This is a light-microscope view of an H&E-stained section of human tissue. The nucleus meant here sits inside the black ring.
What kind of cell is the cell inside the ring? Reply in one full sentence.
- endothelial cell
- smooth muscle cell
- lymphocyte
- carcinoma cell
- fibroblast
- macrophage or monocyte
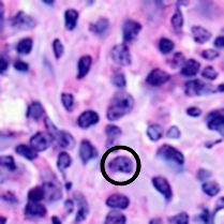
By its classification, the cell inside the ring is a lymphocyte.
